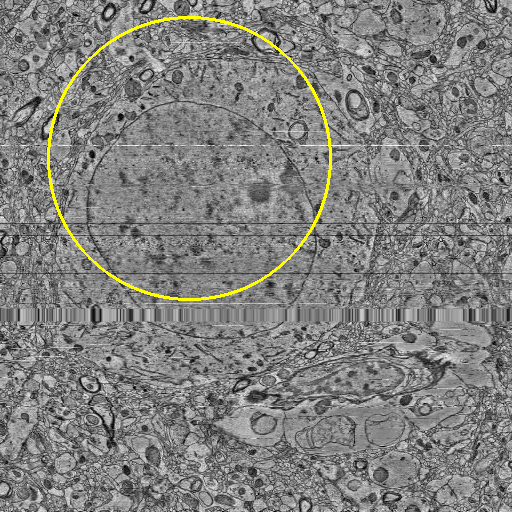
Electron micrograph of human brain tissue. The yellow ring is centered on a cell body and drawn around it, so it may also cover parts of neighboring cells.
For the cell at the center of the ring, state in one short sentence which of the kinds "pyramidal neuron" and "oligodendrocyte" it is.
This ring is centered on a pyramidal neuron.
